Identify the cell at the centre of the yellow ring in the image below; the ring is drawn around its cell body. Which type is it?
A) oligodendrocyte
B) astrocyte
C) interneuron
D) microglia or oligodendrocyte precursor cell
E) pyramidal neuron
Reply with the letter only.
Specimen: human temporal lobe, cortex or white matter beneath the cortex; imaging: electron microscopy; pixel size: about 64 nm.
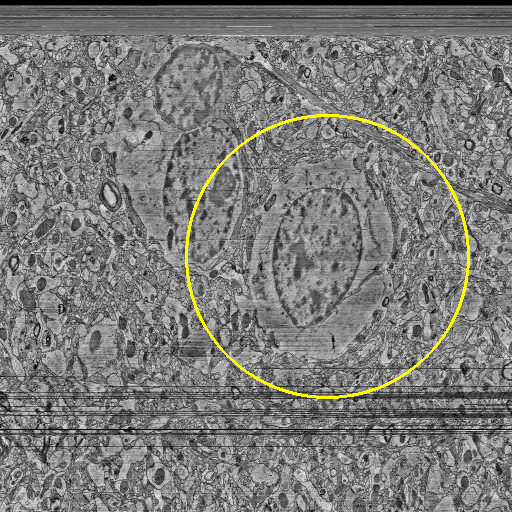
B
